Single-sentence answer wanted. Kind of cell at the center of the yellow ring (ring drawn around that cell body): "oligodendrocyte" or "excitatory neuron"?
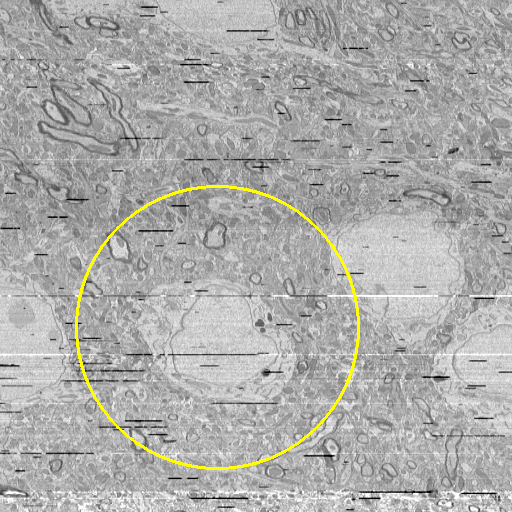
The cell centered in the ring is an excitatory neuron.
